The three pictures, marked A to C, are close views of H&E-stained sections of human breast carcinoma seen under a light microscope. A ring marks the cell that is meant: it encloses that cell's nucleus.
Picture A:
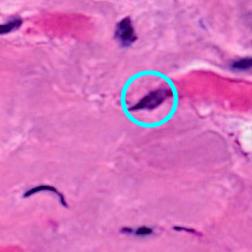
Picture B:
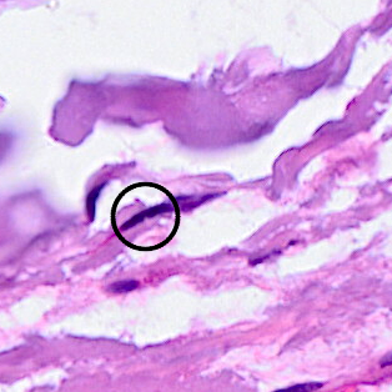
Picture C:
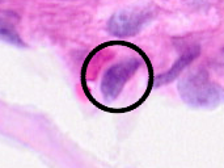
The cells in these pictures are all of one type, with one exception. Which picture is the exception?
C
